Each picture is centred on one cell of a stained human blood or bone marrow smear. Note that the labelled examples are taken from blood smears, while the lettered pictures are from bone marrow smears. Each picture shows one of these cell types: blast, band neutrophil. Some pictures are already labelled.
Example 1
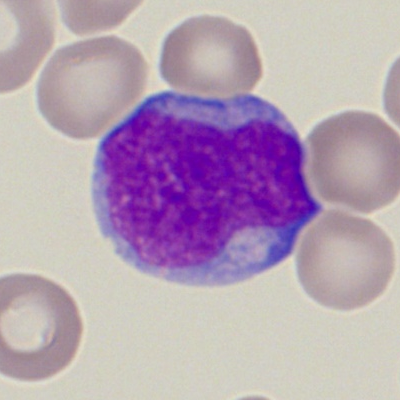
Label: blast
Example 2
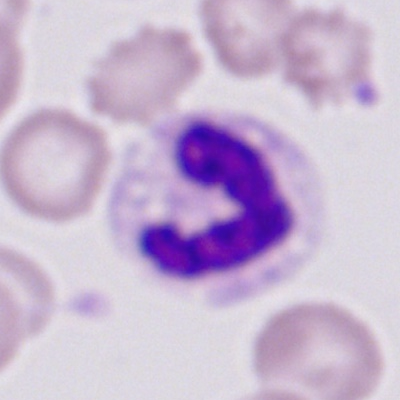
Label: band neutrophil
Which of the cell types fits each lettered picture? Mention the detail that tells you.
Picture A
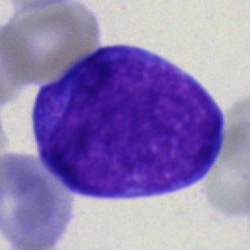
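blast. Reason: The chromatin is fine and evenly spread, with small pale specks rather than coarse dark clumps.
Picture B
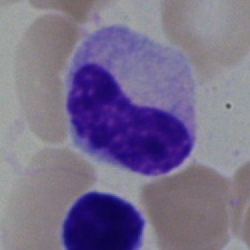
band neutrophil. Reason: The cytoplasm is abundant and pale lilac-blue.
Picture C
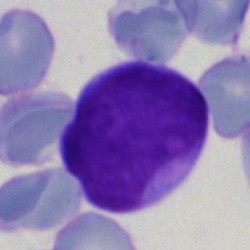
blast. Reason: Cytoplasm shows only as a narrow crescent at the lower right of the cell.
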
